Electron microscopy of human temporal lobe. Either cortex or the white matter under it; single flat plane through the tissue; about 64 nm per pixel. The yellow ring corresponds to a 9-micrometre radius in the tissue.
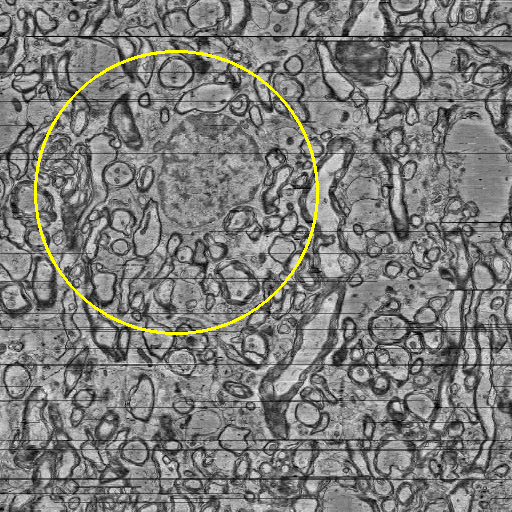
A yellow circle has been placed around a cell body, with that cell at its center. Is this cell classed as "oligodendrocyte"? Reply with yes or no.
Yes, it belongs to that class.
